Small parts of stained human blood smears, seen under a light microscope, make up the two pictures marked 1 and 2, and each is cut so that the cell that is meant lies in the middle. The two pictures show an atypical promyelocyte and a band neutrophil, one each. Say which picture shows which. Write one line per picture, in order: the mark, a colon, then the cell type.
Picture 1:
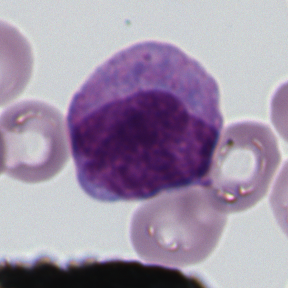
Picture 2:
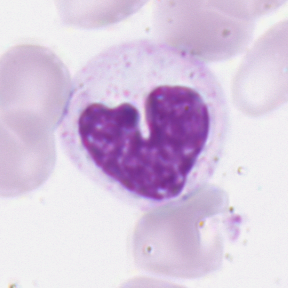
1: atypical promyelocyte
2: band neutrophil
